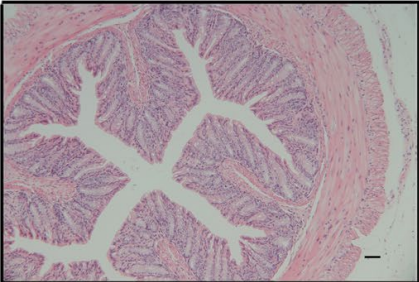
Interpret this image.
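This is a cross-section of normal colon, with a star-shaped lumen lined by mucosa folded into regular ridges. The mucosa consists of closely packed, straight, parallel crypts lined by columnar epithelium with many pale goblet cells and basal purple nuclei. A thin submucosa and a pink band of smooth muscle surround the mucosa, and there are no dense collections of inflammatory cells.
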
